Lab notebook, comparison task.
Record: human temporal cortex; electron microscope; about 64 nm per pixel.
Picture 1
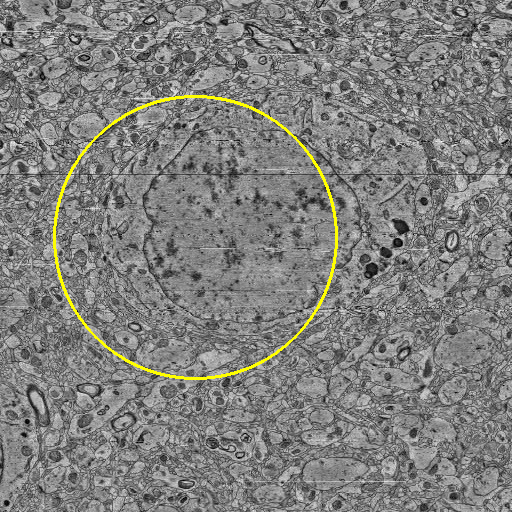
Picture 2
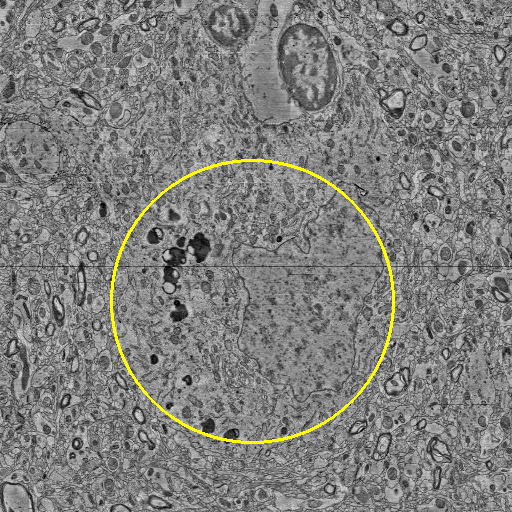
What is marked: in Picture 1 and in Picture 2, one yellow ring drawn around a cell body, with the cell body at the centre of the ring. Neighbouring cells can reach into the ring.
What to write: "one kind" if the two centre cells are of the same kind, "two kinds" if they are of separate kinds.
one kind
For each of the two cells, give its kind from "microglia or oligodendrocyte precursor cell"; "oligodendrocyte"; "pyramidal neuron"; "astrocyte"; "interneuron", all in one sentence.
Each of the ringed cells, first and second, is a pyramidal neuron.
